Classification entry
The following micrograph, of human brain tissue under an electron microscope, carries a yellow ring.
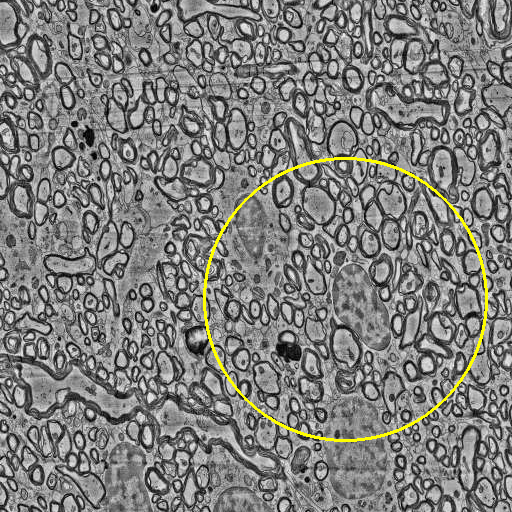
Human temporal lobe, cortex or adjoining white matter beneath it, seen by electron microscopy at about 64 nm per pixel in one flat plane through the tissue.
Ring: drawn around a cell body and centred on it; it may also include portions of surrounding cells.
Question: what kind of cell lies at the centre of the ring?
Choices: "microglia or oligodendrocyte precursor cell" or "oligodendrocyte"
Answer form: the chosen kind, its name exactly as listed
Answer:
microglia or oligodendrocyte precursor cell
